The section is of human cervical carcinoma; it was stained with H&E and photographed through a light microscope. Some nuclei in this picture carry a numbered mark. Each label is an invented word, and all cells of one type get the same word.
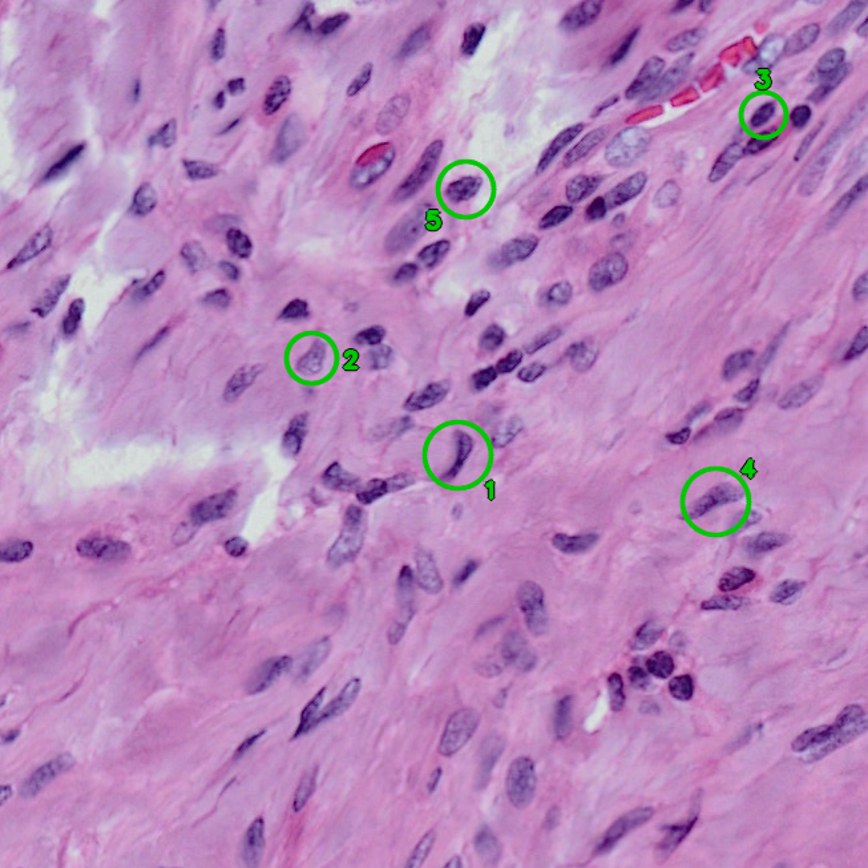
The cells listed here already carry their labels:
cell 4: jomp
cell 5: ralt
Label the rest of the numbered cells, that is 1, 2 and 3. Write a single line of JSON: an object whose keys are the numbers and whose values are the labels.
{"1": "jomp", "2": "jomp", "3": "ralt"}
